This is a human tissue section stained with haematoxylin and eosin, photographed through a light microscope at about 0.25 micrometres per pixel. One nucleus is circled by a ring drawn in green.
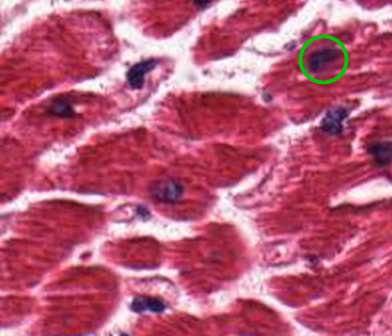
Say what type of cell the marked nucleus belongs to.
cardiomyocyte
